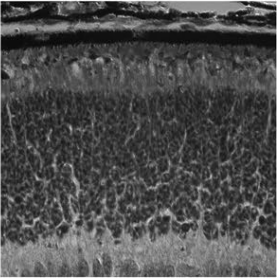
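This is a cross section of the outer retina with its photoreceptor layers. Directly beneath this band the striated photoreceptor segment layer is narrow and less clearly organized into tiers. Below it the outer nuclear layer is thick, made of many rows of small, round, densely stained nuclei with pale vertical streaks between them. At the bottom, a lighter, less cellular band appears. Compared with a normal outer retina, the segment band here is markedly thin.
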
